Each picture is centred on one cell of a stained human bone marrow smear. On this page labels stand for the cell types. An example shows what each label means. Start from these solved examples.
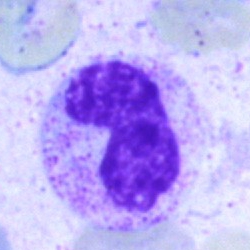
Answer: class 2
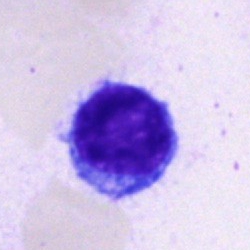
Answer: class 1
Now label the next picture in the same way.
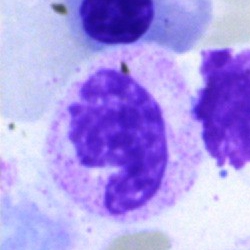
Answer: class 2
